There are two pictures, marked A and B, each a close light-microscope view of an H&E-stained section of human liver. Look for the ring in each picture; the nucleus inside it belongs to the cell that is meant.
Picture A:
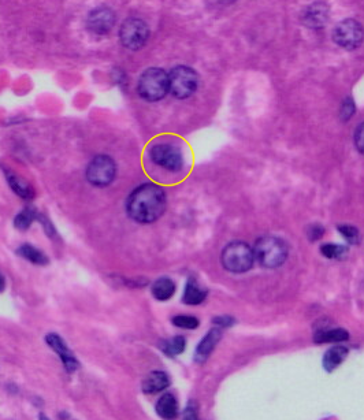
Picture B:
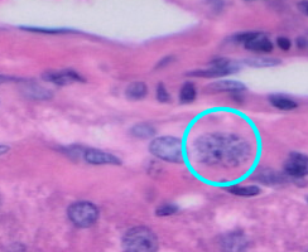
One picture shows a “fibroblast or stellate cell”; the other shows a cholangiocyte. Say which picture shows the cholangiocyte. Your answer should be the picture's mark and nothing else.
B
